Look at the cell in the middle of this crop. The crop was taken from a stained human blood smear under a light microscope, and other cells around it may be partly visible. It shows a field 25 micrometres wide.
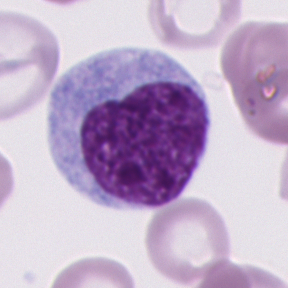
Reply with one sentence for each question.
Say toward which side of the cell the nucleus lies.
Seen from the middle of the cell, the nucleus lies toward the lower right.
